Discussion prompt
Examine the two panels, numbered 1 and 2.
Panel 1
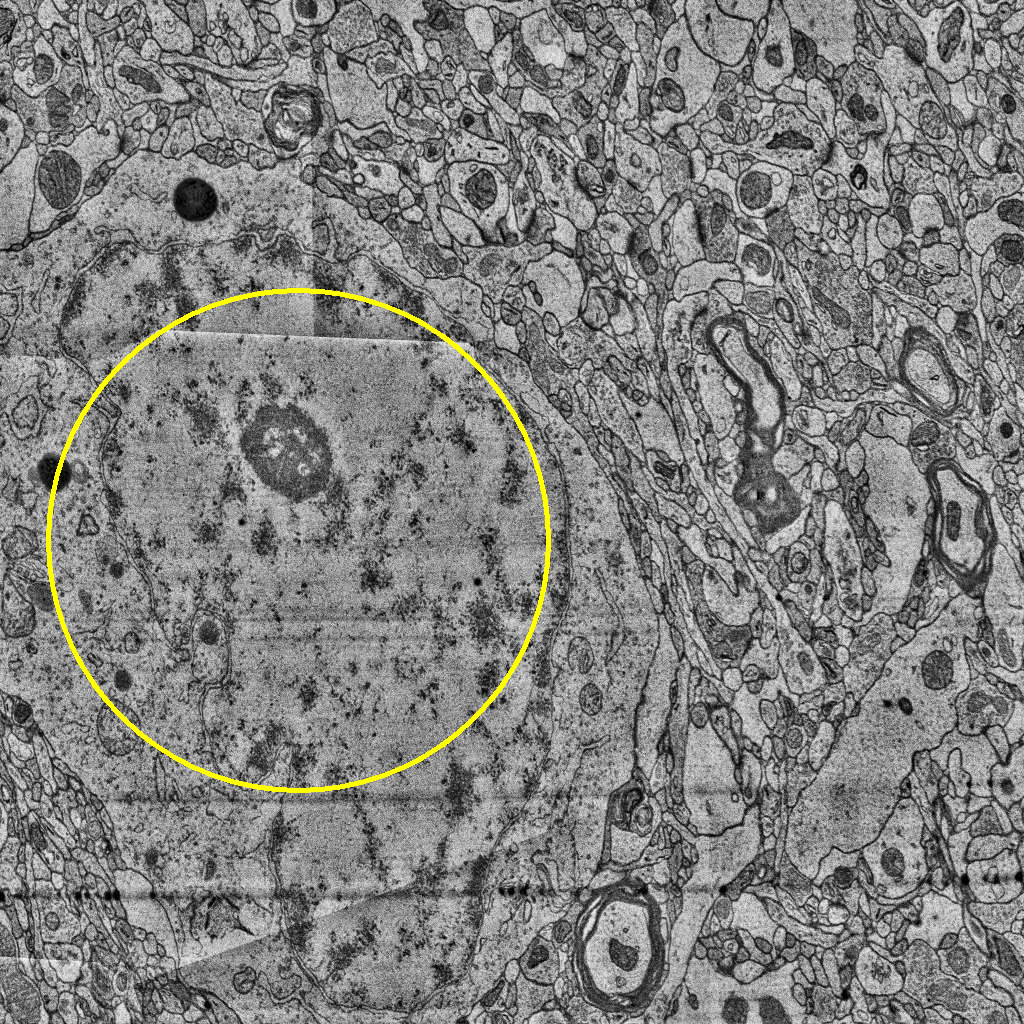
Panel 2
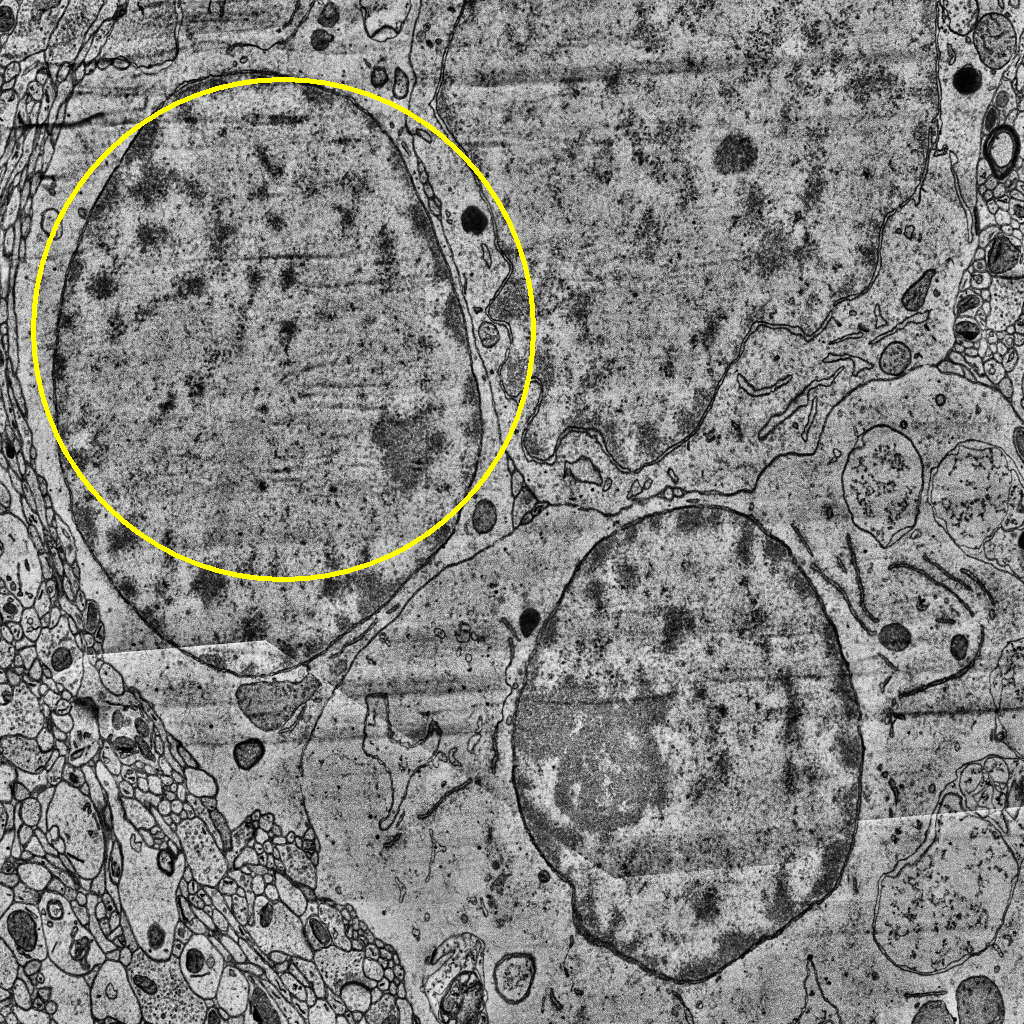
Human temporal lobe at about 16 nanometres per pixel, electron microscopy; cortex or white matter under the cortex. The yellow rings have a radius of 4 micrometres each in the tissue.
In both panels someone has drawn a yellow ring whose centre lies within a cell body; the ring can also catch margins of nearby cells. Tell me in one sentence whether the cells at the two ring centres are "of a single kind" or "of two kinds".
Taken together, the two cells at the ring centres of Panels 1 and 2 are of two kinds.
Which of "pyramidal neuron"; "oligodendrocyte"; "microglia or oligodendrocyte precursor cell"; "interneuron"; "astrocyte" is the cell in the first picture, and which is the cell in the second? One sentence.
The two differ: the first cell is an interneuron and the second is an astrocyte.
